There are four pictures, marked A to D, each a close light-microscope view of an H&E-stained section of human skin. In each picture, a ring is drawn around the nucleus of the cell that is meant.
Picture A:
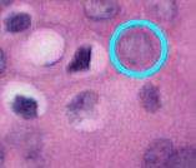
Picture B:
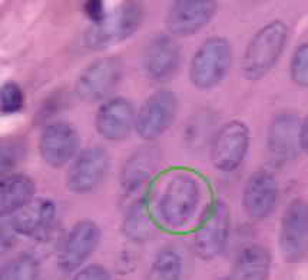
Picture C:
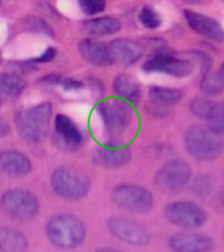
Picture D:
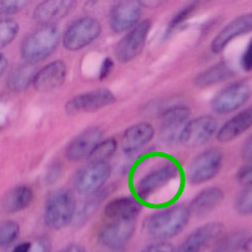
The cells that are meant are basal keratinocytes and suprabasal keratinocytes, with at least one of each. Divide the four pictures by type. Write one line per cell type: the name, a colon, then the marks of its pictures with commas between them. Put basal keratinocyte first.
basal keratinocyte: C, D
suprabasal keratinocyte: A, B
